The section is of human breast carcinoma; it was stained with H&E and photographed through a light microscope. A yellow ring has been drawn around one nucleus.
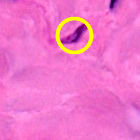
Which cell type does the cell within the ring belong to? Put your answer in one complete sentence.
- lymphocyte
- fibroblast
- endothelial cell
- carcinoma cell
Recorded by type, the cell within the ring is a fibroblast.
